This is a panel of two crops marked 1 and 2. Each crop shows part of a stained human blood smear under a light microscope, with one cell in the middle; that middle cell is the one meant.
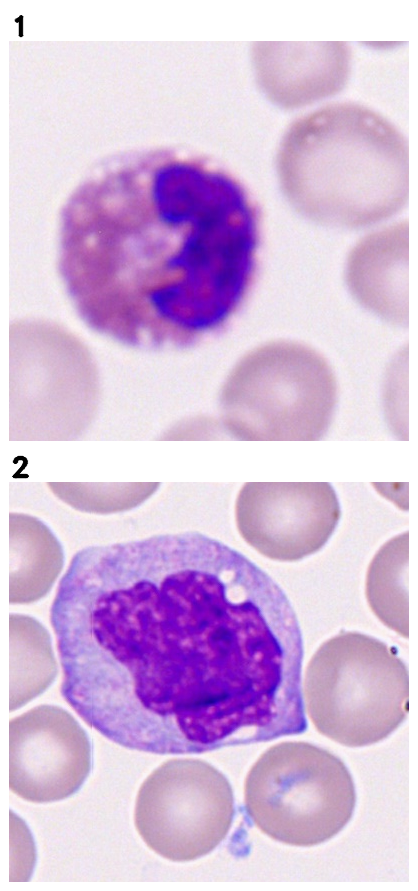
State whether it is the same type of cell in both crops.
no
